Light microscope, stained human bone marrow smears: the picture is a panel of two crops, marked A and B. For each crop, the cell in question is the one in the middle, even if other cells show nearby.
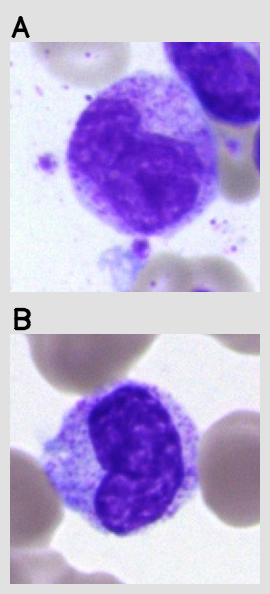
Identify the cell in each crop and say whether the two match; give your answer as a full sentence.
Yes, both crops show metamyelocytes, each crop centred on one of them.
